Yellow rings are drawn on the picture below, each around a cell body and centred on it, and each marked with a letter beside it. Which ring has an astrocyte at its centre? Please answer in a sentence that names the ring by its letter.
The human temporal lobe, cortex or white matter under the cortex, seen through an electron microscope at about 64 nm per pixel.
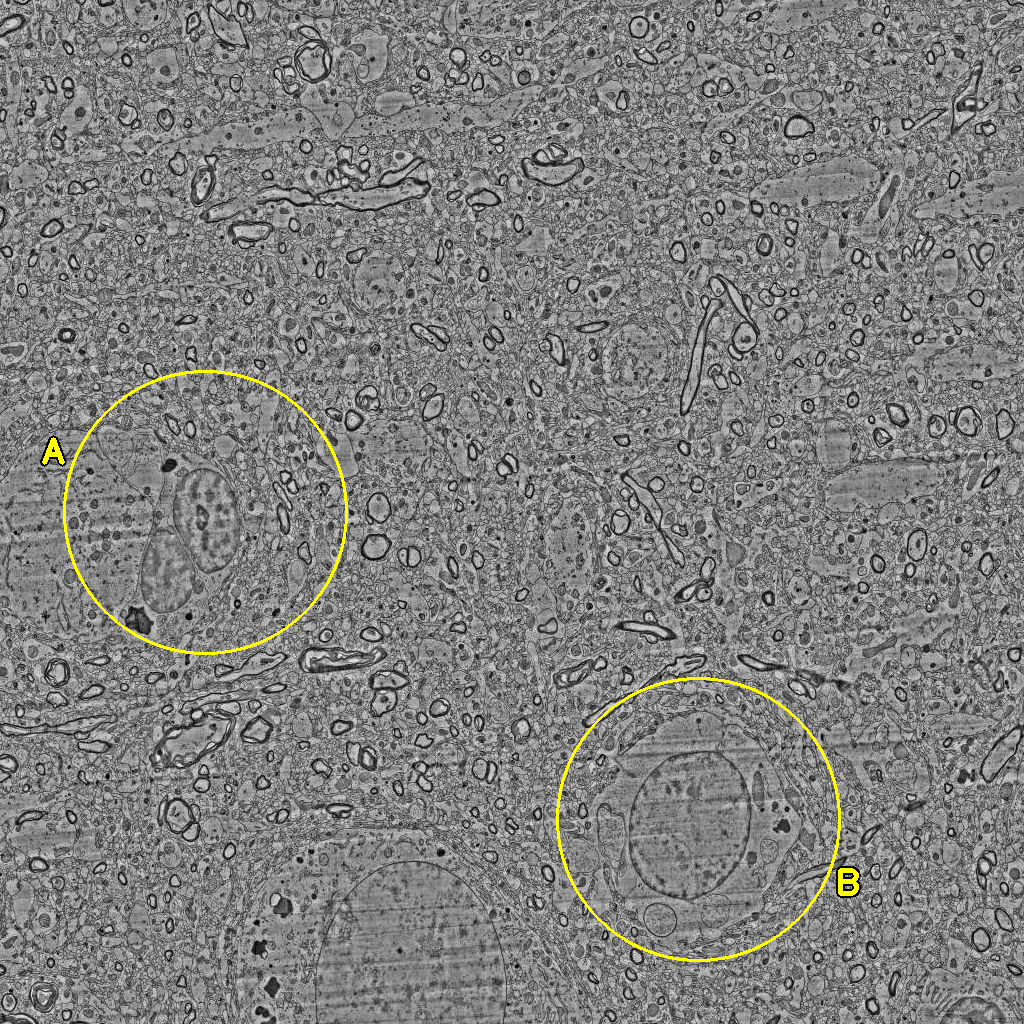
That is ring B.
